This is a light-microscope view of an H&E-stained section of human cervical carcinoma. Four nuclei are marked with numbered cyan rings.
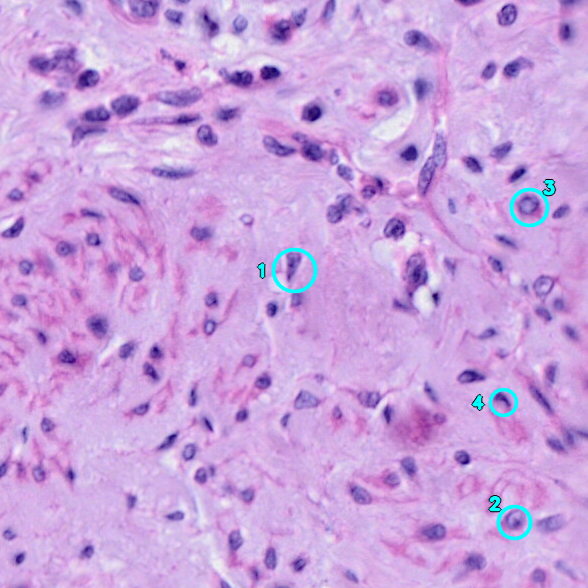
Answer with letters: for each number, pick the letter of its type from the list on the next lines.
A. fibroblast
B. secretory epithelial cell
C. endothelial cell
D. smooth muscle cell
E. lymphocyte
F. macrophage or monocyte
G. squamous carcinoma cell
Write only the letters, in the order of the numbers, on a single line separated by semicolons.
A; D; D; D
